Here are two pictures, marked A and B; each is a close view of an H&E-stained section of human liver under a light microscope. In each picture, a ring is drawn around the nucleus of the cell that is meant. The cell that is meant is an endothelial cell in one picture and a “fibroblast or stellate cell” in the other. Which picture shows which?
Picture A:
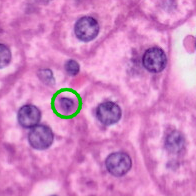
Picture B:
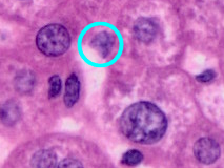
A: fibroblast or stellate cell
B: endothelial cell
